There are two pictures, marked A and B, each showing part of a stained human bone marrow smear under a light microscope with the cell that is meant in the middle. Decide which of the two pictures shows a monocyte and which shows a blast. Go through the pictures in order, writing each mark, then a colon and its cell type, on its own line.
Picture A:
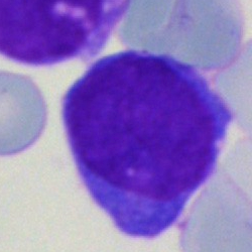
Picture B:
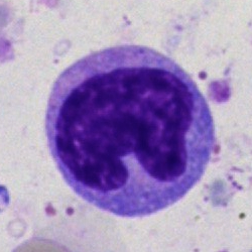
A: blast
B: monocyte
